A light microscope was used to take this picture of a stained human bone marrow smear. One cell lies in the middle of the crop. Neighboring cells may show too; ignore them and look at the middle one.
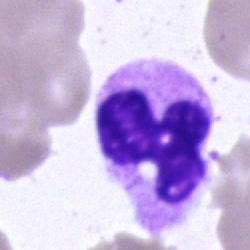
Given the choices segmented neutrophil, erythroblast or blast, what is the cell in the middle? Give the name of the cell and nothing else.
segmented neutrophil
